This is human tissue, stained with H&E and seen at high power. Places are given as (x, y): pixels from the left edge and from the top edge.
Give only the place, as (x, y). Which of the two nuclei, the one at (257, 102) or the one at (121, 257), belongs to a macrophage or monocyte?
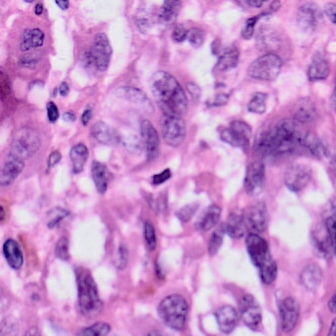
(257, 102)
